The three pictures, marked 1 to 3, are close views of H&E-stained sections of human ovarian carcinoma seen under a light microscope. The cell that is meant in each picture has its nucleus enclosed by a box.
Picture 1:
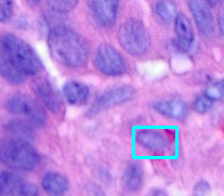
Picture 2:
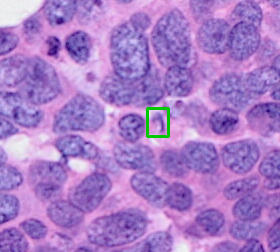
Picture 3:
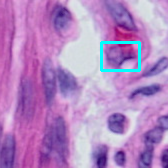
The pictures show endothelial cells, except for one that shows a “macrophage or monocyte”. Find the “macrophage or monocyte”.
2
